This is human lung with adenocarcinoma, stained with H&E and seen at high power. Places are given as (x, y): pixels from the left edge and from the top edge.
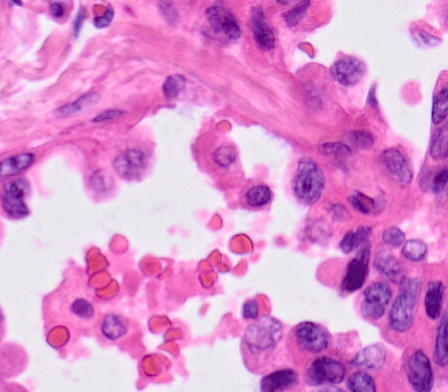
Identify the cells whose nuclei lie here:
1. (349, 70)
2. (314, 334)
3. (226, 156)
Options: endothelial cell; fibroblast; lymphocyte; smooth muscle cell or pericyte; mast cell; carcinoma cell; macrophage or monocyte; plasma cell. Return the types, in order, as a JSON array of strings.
["carcinoma cell", "carcinoma cell", "macrophage or monocyte"]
